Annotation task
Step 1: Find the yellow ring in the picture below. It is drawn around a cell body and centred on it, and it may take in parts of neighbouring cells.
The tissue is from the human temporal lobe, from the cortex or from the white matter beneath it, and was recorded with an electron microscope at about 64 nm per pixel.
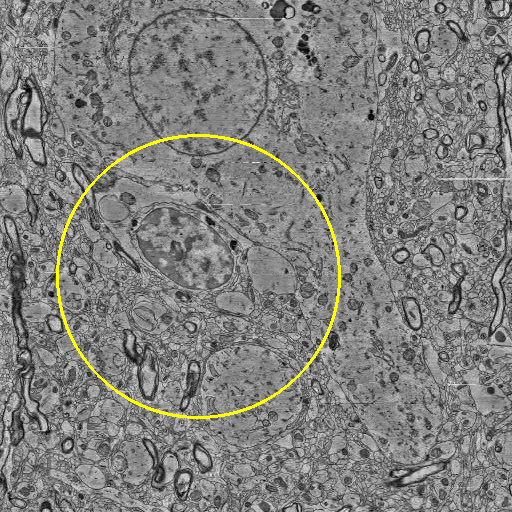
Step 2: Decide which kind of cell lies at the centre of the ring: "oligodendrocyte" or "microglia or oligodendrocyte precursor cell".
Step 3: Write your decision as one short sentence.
The kind of cell at the ring's centre is a microglial cell or oligodendrocyte precursor cell.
